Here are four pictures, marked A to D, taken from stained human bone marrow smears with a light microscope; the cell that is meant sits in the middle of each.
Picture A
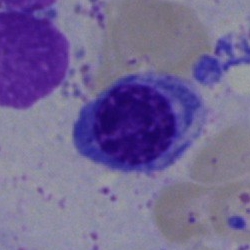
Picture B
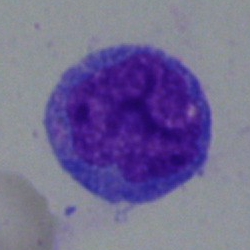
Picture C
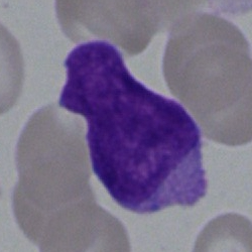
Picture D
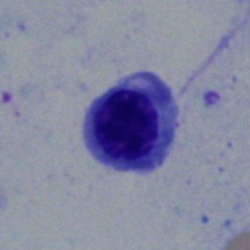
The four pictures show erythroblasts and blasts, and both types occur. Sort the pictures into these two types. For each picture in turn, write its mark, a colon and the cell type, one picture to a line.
A: erythroblast
B: blast
C: blast
D: erythroblast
